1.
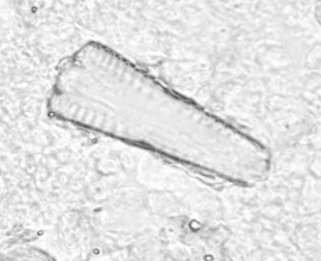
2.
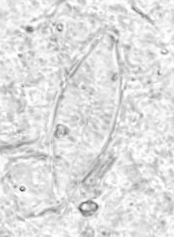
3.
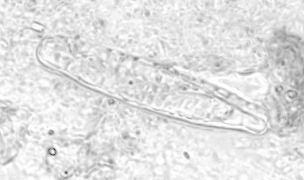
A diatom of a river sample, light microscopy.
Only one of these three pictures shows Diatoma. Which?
Picture 3.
